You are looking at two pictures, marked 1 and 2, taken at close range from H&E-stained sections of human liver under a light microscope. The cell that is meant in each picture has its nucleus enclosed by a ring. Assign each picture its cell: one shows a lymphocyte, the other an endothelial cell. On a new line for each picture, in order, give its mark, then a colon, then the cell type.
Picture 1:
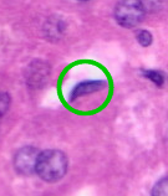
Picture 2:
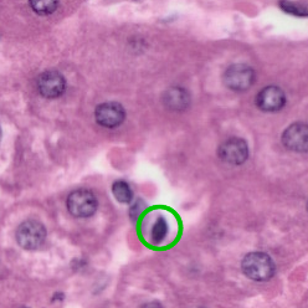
1: endothelial cell
2: lymphocyte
